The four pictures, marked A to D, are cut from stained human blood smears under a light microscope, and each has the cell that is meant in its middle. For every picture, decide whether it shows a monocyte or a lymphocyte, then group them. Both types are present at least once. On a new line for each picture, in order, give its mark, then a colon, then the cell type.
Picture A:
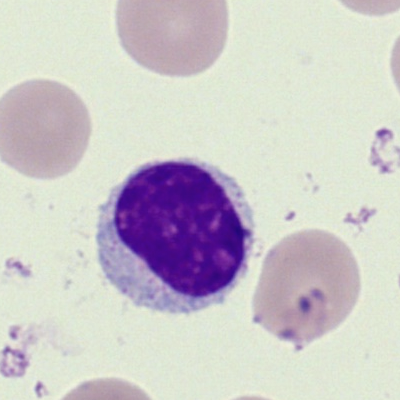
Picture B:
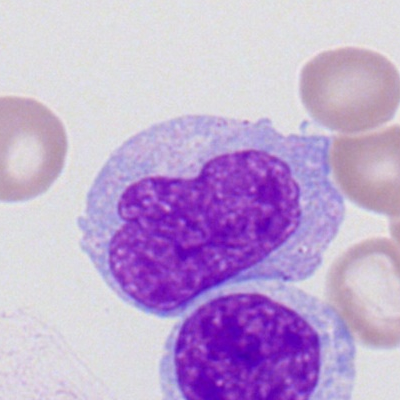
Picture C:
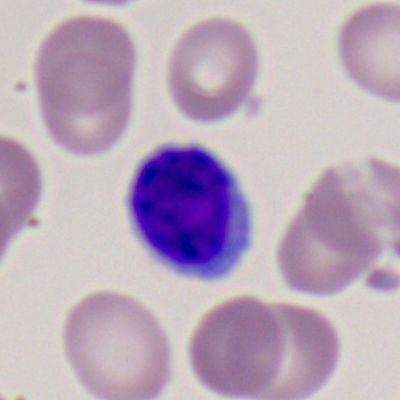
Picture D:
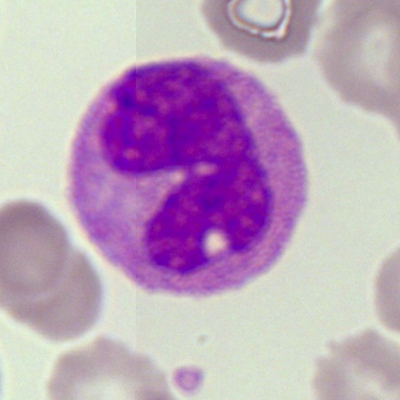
A: lymphocyte
B: monocyte
C: lymphocyte
D: monocyte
